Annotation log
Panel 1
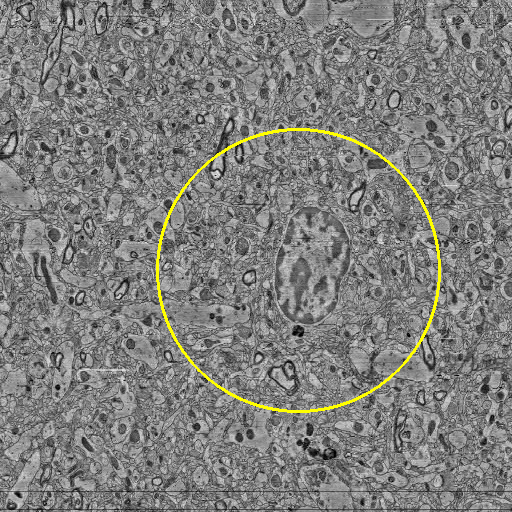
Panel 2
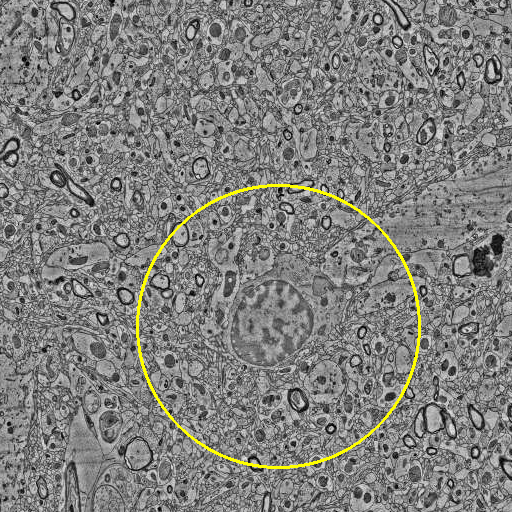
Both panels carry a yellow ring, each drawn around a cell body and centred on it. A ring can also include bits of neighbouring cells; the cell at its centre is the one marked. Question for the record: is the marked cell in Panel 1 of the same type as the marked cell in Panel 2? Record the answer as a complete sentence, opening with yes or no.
No, the marked cells in Panel 1 and Panel 2 are of two types.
